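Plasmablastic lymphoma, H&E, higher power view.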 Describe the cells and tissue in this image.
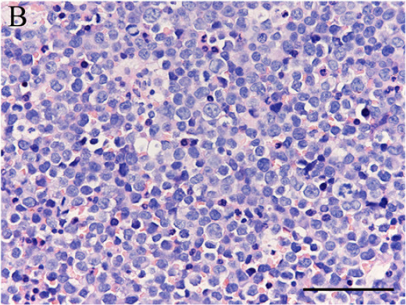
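A dense sheet of large atypical cells fills the field with almost no intervening stroma. The cells are closely packed and round to oval, with enlarged round nuclei stained purple-blue, many showing open chromatin and a distinct nucleolus. Some nuclei sit eccentrically within a rim of pale bluish cytoplasm, giving a plasma-cell-like look, while others have scant cytoplasm. Nuclear size varies from cell to cell. Scattered among them are a few small dark, condensed nuclear fragments and occasional pink-red cells, and small clear spaces separate some cell groups.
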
